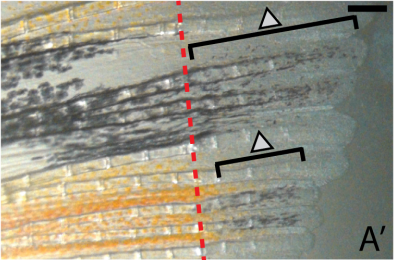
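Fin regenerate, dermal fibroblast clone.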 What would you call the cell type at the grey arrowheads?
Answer: Melanocytes.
